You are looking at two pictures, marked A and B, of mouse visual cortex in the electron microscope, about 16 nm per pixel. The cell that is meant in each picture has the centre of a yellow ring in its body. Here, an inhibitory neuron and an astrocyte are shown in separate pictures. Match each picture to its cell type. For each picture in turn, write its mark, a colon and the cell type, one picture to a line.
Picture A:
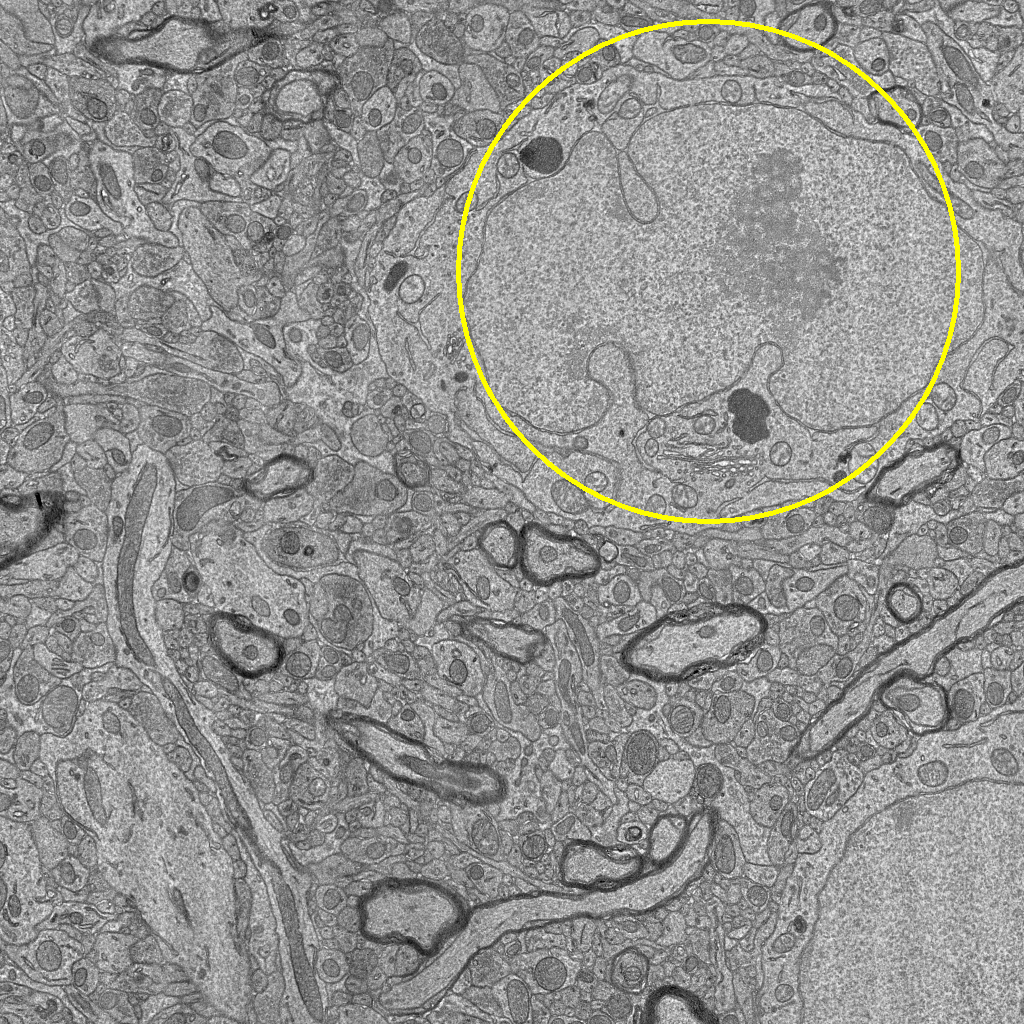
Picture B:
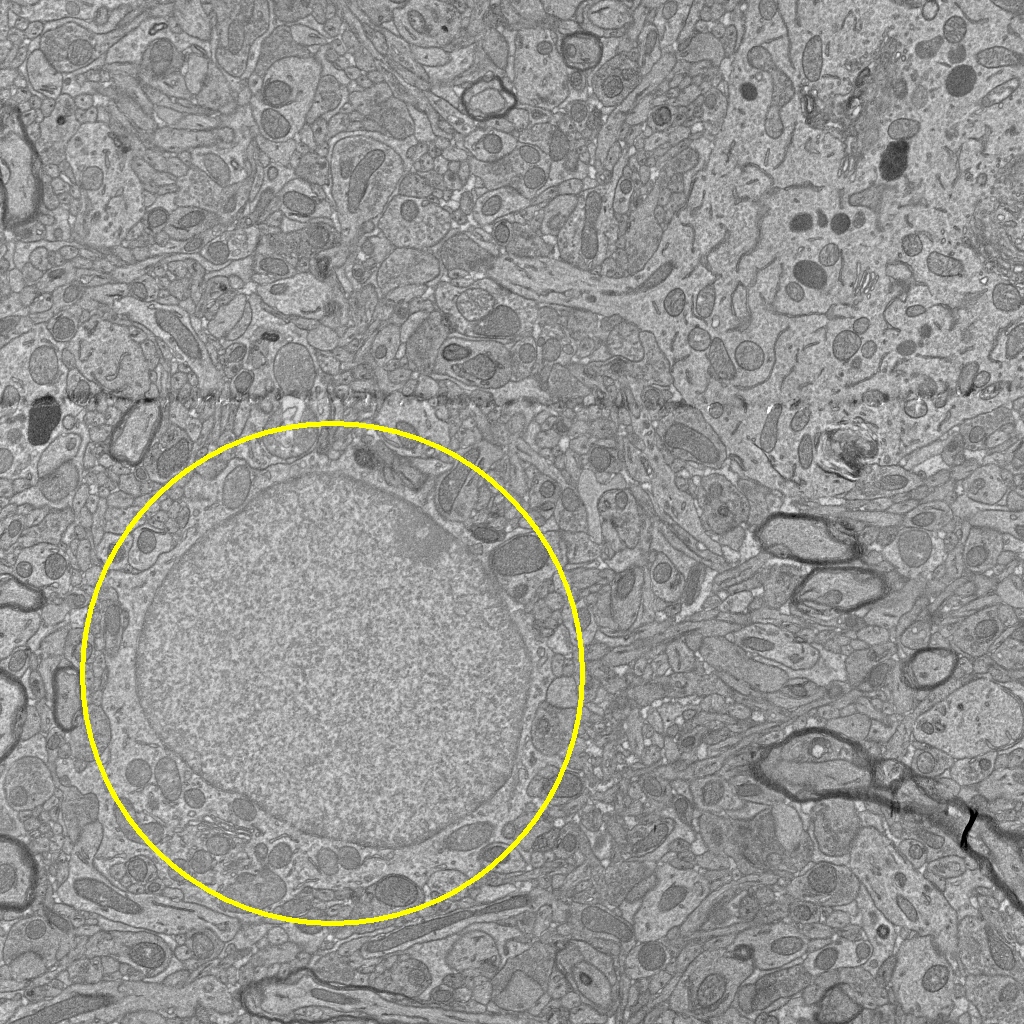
A: inhibitory neuron
B: astrocyte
